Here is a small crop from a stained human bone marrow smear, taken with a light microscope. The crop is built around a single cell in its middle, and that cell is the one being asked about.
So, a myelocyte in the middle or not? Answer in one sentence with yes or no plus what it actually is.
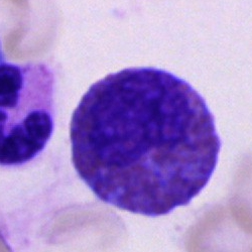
No, the central cell is not a myelocyte; it is an eosinophil.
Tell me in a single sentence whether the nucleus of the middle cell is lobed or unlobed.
Have a look at the nucleus, which is one compact mass, round, oval or kidney-shaped.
